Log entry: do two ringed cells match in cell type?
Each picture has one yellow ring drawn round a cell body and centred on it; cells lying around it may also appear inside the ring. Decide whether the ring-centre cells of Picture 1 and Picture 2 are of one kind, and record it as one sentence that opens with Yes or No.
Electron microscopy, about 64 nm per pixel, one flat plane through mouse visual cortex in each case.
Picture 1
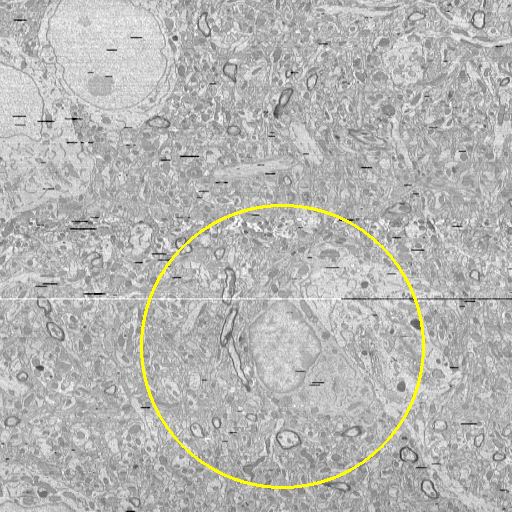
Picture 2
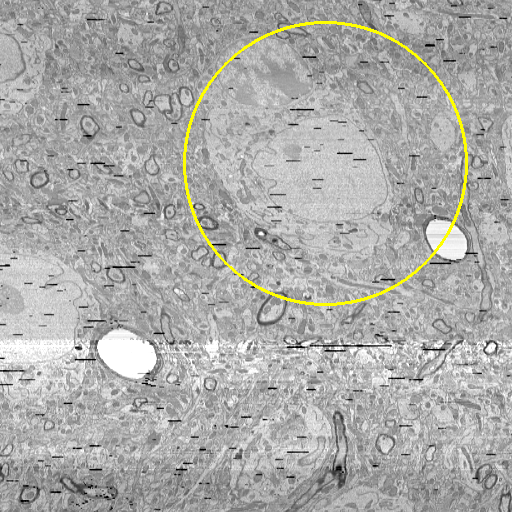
No, the cells at the ring centres of the two pictures belong to two kinds.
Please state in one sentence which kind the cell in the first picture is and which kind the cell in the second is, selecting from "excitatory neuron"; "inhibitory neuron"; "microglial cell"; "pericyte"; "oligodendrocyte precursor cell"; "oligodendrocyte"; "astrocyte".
The first ringed cell is an oligodendrocyte, the second ringed cell an excitatory neuron.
